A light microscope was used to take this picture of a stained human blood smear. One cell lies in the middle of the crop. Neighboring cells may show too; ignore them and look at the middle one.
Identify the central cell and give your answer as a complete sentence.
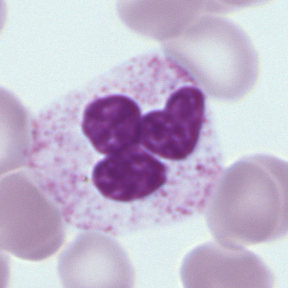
The centrally located cell in the crop is a neutrophil.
